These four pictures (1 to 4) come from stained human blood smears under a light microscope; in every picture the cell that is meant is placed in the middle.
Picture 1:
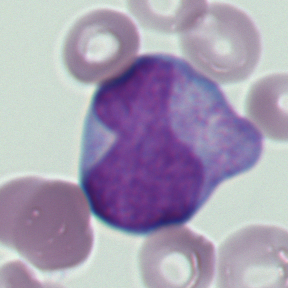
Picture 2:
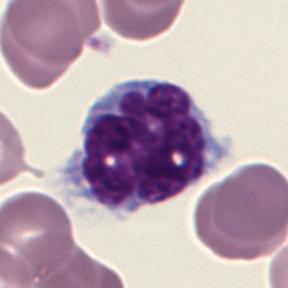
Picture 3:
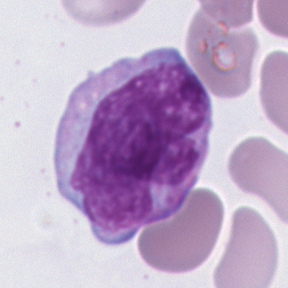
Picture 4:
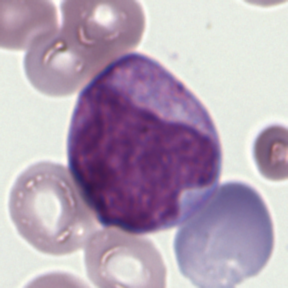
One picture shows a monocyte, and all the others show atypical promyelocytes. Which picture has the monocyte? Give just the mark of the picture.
2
